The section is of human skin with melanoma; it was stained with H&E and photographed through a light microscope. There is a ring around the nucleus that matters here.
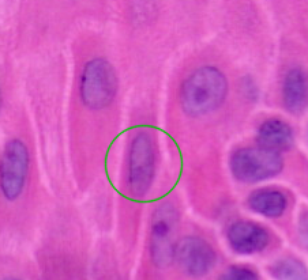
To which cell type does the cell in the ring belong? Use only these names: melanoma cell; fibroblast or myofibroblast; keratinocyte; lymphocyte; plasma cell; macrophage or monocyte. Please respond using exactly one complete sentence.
Just put down that the cell in the ring is a keratinocyte.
